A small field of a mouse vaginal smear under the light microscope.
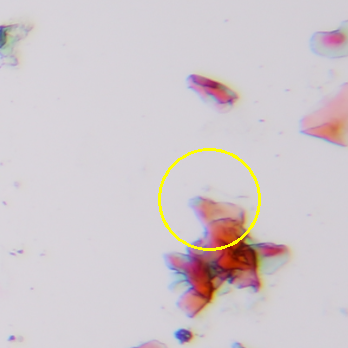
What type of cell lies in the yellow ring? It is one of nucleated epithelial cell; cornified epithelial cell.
The ringed cell is a cornified epithelial cell.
